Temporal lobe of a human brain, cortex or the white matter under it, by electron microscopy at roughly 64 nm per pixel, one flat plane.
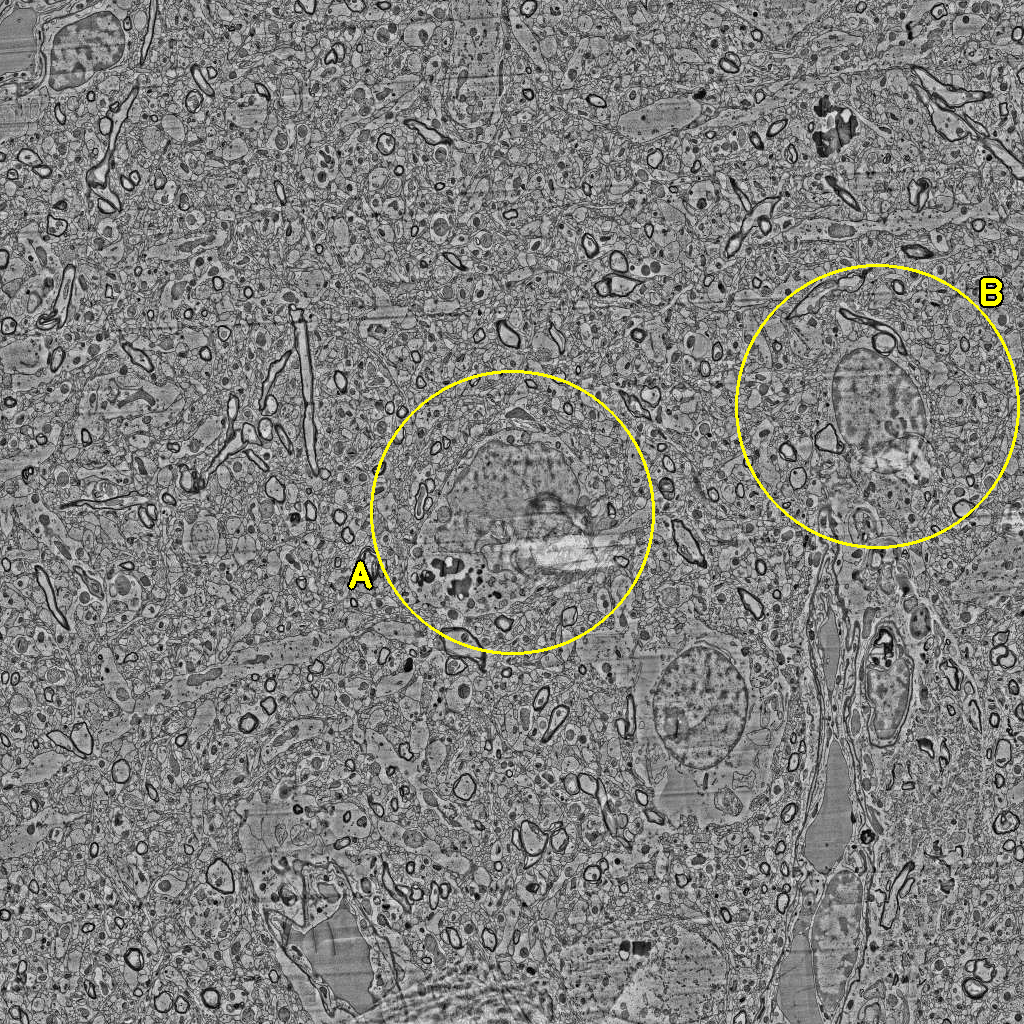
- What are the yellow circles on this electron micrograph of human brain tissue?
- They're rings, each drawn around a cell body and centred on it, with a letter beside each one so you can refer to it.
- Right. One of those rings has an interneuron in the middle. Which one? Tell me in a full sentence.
It's ring A.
